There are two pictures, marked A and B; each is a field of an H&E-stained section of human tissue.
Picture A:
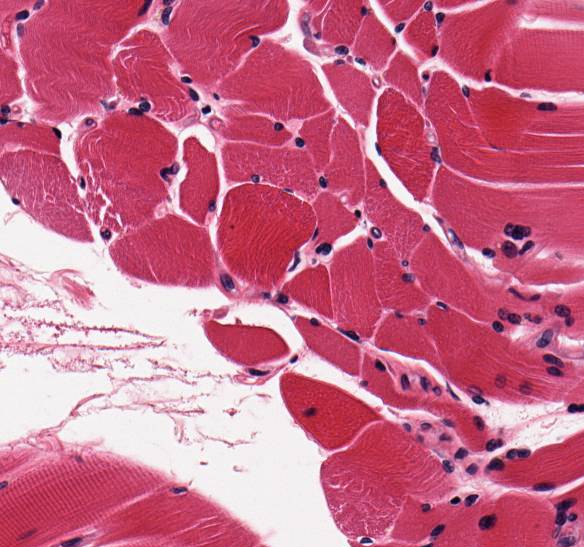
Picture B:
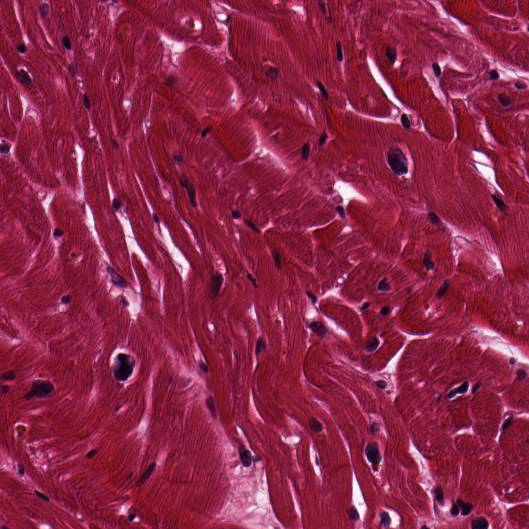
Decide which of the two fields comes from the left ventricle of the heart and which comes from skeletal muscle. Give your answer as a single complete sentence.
Picture A comes from skeletal muscle and picture B comes from the left ventricle of the heart.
